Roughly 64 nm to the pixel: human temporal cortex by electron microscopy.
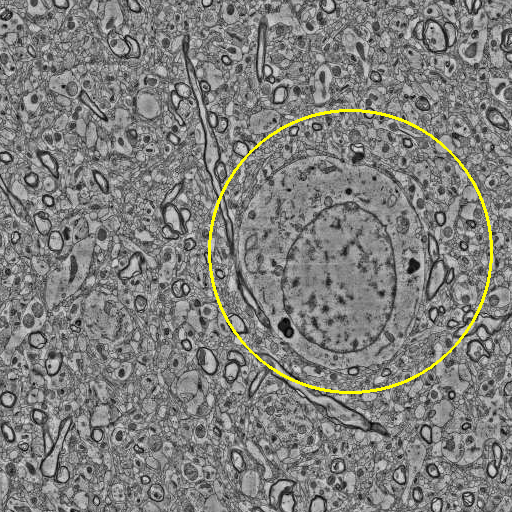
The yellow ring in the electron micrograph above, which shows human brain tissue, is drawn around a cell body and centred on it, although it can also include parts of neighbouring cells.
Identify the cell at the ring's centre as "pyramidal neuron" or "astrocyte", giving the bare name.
pyramidal neuron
